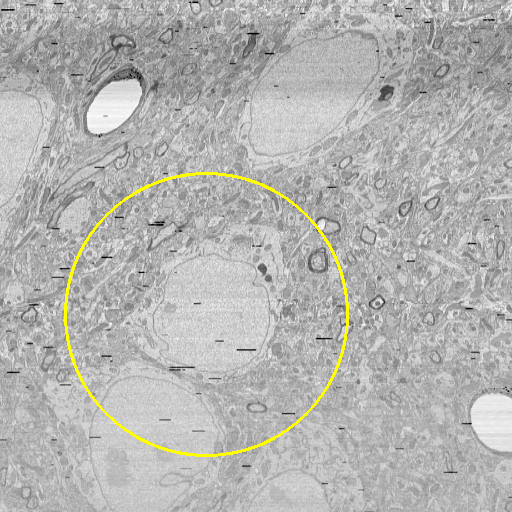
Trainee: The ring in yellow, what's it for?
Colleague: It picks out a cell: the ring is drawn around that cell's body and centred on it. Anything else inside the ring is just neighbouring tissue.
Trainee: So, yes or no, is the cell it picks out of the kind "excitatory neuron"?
yes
